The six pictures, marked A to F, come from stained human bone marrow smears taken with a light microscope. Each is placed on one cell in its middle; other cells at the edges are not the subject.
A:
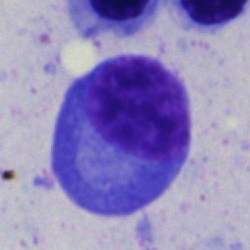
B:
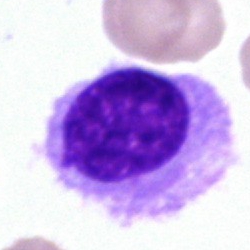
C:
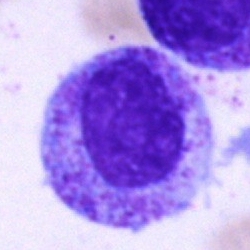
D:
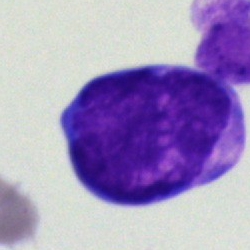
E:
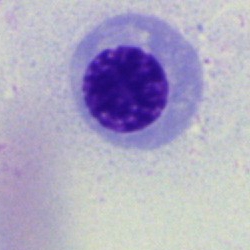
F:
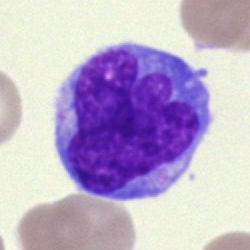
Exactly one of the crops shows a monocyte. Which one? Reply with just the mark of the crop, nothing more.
F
